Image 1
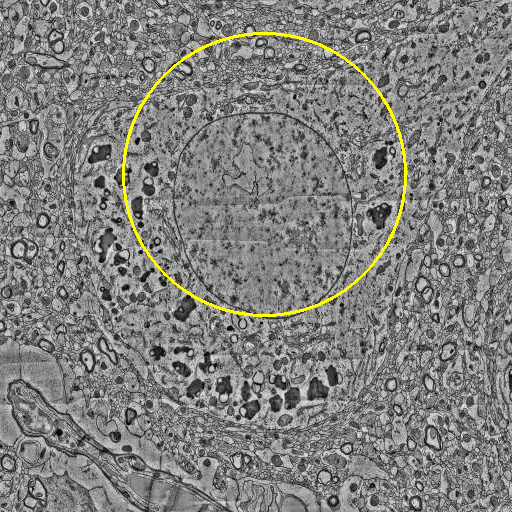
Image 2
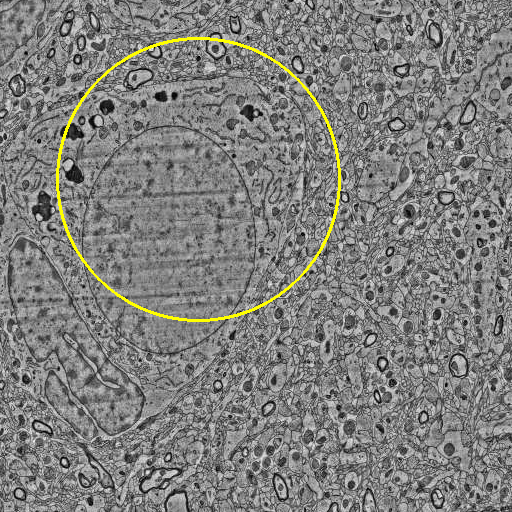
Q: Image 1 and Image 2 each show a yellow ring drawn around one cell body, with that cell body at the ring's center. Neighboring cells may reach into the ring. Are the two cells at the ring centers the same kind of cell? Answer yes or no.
yes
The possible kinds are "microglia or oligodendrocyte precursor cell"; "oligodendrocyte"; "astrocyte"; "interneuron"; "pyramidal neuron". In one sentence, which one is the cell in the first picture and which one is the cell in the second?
Each of the two cells is a pyramidal neuron.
